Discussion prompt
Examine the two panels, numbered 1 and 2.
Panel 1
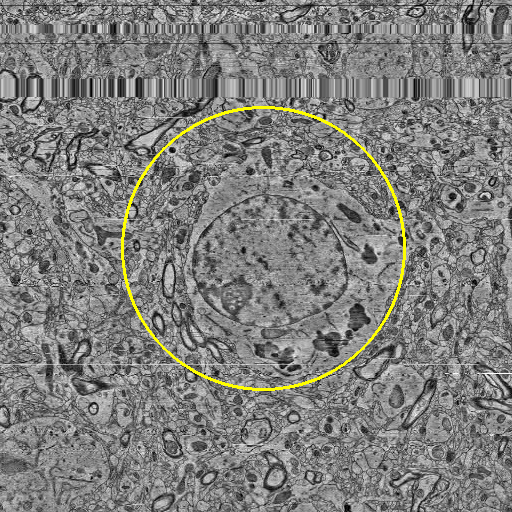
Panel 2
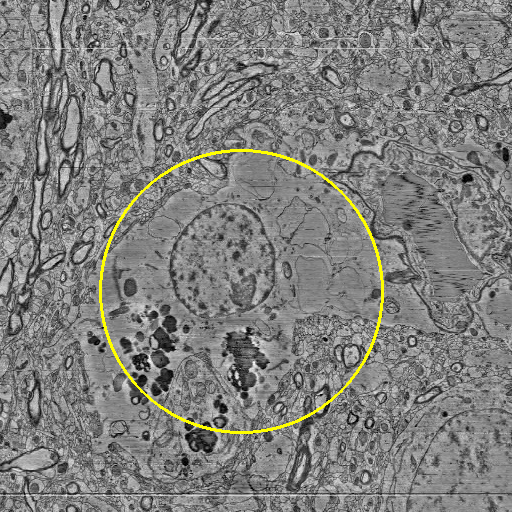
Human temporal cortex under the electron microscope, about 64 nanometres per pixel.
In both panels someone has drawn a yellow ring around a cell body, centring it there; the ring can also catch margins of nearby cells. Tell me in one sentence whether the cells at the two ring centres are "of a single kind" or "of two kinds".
Taken together, the two cells centred in the rings of Panels 1 and 2 are of a single kind.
